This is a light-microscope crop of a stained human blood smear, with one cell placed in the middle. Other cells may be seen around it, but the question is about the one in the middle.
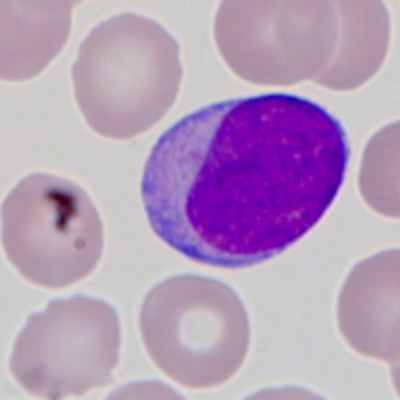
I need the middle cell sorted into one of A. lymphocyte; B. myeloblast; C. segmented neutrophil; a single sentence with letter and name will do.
The cell in the centre of the crop is a myeloblast, so option B is the correct one.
